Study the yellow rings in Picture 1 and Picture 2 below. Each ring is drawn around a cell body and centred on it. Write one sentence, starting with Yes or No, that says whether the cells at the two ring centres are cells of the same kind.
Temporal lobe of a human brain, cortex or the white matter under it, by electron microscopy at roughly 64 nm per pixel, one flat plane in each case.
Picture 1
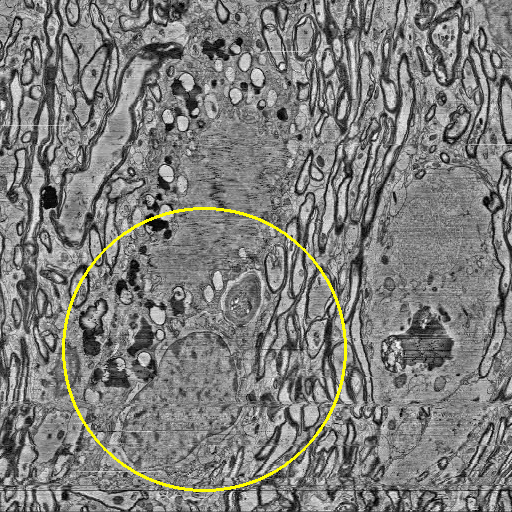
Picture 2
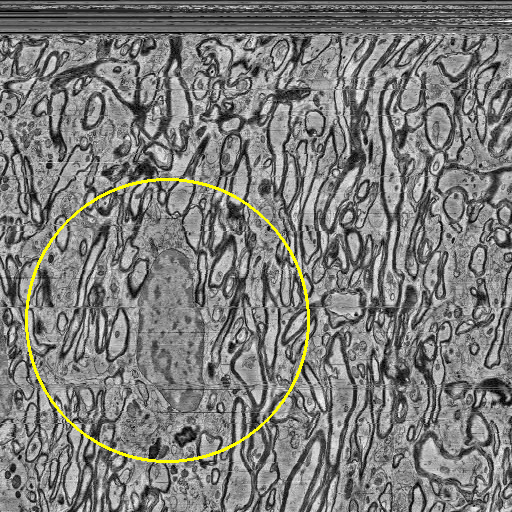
Yes, the cells at both ring centres are of the same kind.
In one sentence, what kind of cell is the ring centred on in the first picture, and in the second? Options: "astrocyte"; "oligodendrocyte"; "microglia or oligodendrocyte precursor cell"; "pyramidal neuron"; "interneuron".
The first and the second cell are each a microglial cell or oligodendrocyte precursor cell.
